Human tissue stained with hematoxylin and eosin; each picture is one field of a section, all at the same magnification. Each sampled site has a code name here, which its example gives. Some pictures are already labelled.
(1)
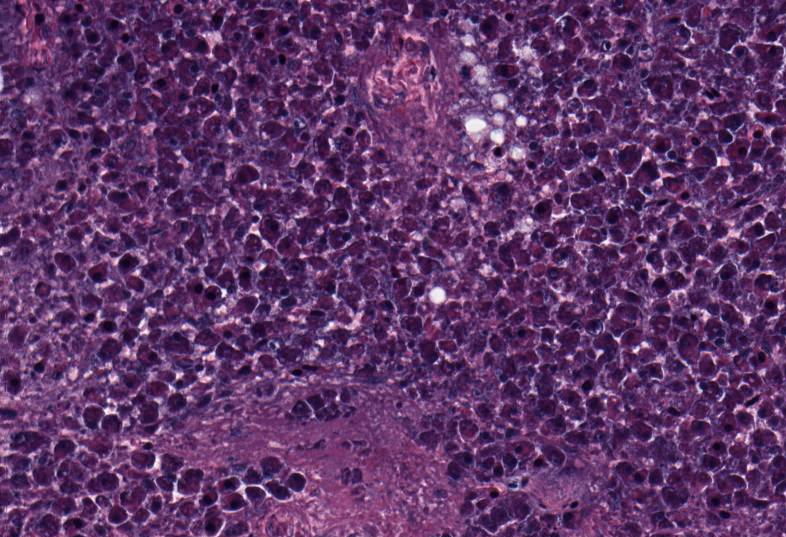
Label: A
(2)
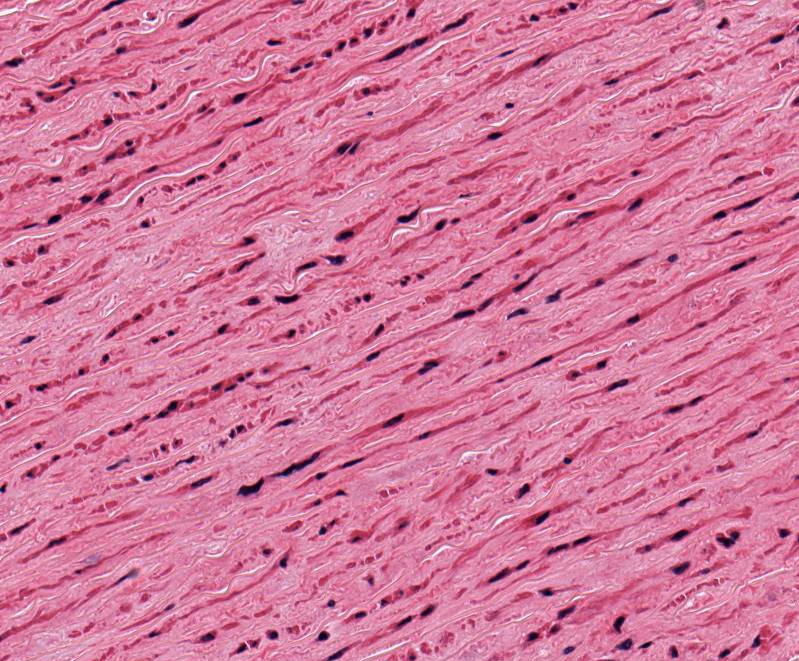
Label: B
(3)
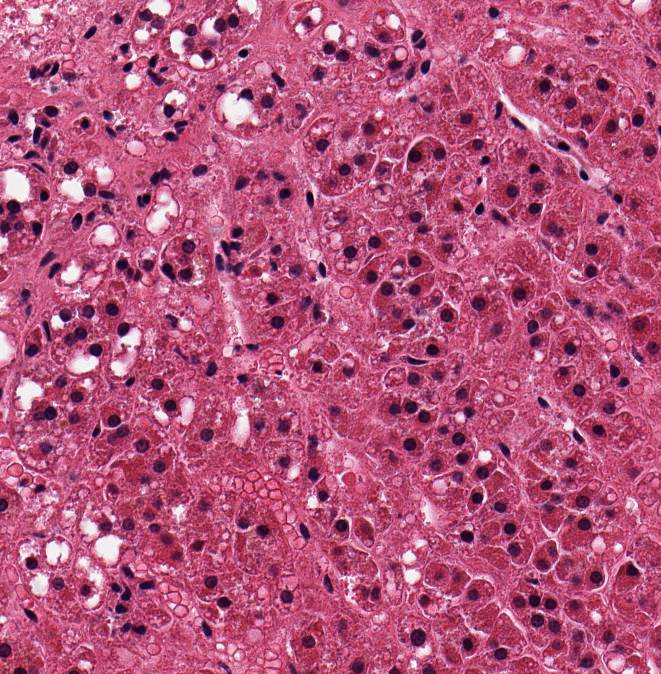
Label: A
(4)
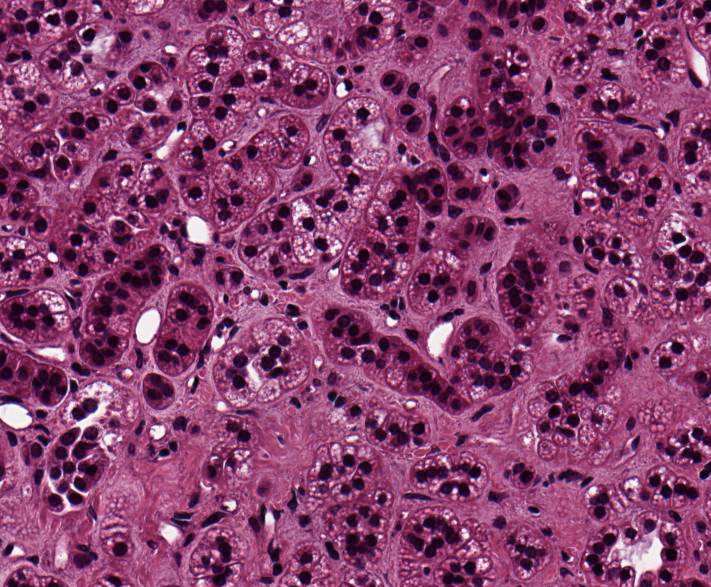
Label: A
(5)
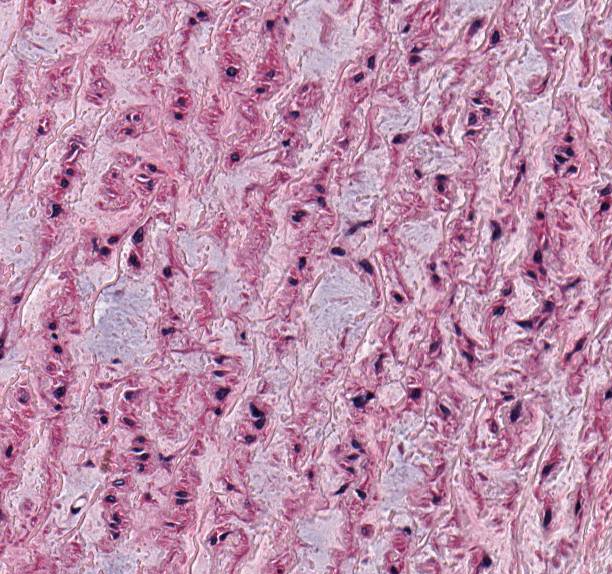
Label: B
